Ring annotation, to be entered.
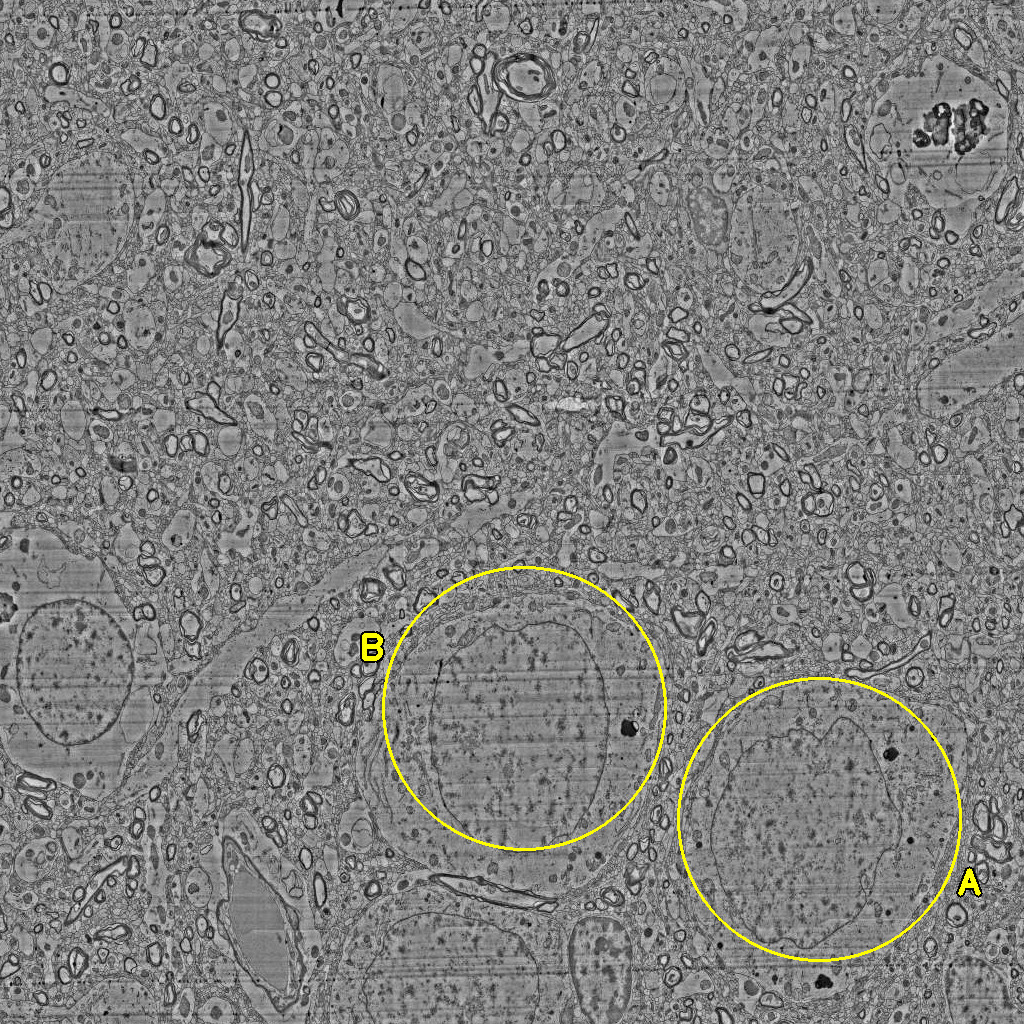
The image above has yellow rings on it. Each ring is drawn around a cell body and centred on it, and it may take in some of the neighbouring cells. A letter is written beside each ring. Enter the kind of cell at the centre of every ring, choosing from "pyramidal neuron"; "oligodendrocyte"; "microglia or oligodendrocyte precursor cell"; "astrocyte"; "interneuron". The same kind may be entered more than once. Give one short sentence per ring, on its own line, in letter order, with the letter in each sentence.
The ring marked A is centred on a pyramidal neuron.
The ring marked B is centred on a pyramidal neuron.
